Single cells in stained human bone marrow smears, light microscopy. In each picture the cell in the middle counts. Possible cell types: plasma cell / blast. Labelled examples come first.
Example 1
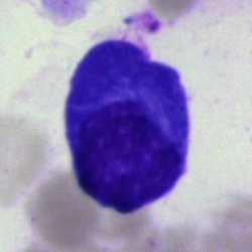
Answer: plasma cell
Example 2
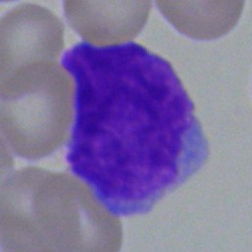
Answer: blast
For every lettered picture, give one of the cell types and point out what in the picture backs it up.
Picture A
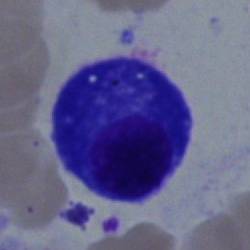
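Answer: plasma cell. The cytoplasm is abundant and stains deep blue.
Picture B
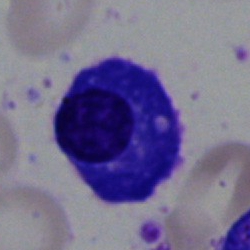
Answer: plasma cell. The cytoplasm is plentiful and stains a deep blue.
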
